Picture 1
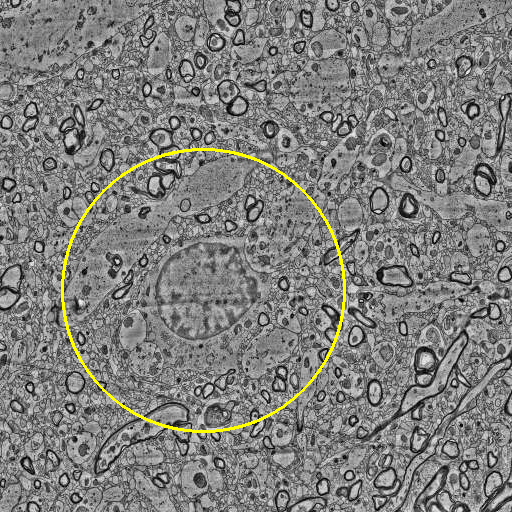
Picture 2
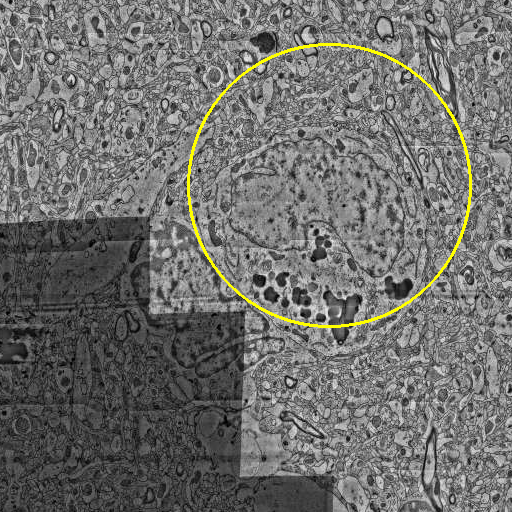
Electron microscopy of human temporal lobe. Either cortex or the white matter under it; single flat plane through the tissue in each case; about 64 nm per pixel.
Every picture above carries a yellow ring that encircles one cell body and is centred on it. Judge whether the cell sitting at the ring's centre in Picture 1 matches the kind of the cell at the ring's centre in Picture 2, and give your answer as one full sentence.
No, the cells centred in the rings of Pictures 1 and 2 belong to two kinds.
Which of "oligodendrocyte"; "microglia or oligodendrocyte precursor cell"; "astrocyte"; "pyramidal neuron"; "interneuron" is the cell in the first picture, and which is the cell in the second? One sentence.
The two differ: the first cell is an oligodendrocyte and the second is an interneuron.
